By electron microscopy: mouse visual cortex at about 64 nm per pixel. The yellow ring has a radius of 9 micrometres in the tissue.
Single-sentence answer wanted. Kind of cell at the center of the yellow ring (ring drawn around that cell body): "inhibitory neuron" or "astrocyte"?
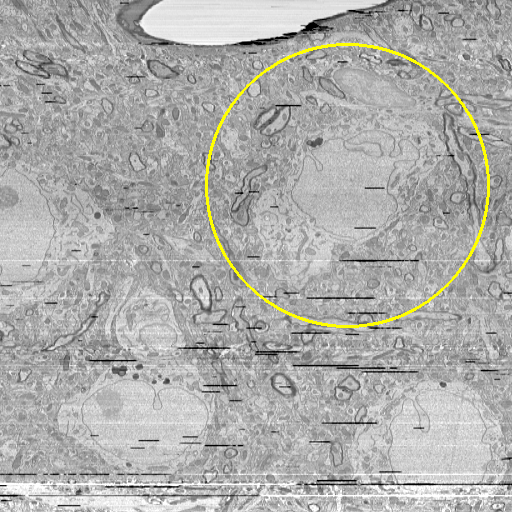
The cell centered in the ring is an inhibitory neuron.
